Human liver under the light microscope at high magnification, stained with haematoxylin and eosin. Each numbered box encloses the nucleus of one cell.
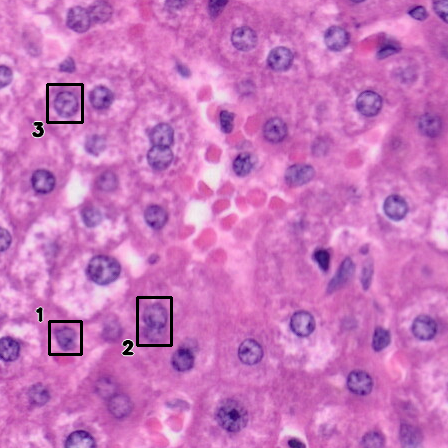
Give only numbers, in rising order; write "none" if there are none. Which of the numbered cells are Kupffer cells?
1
